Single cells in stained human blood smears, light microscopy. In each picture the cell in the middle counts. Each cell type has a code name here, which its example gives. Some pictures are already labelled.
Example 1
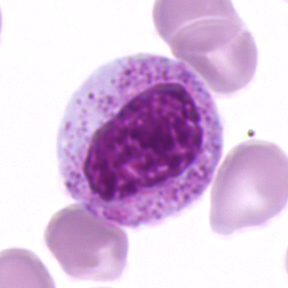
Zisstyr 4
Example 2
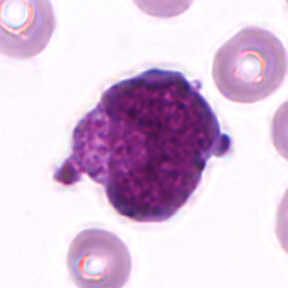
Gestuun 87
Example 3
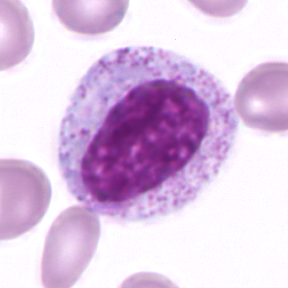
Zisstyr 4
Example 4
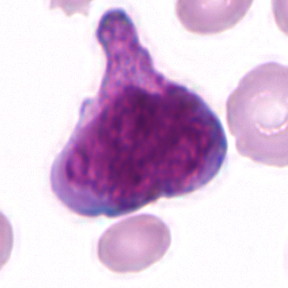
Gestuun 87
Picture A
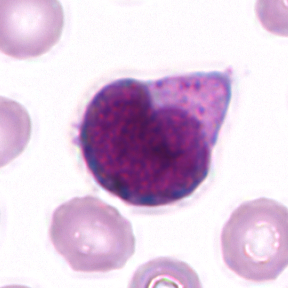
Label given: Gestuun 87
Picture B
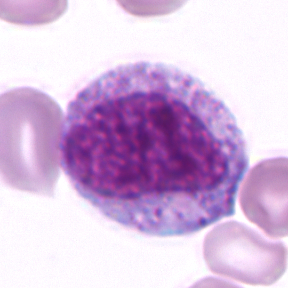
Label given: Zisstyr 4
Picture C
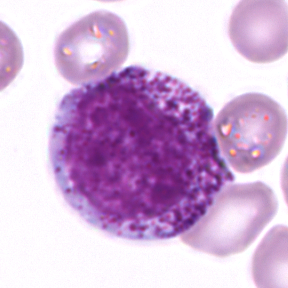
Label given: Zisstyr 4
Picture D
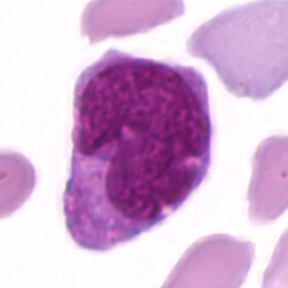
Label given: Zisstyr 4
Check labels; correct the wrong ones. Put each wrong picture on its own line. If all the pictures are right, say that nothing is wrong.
D: Gestuun 87, not Zisstyr 4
